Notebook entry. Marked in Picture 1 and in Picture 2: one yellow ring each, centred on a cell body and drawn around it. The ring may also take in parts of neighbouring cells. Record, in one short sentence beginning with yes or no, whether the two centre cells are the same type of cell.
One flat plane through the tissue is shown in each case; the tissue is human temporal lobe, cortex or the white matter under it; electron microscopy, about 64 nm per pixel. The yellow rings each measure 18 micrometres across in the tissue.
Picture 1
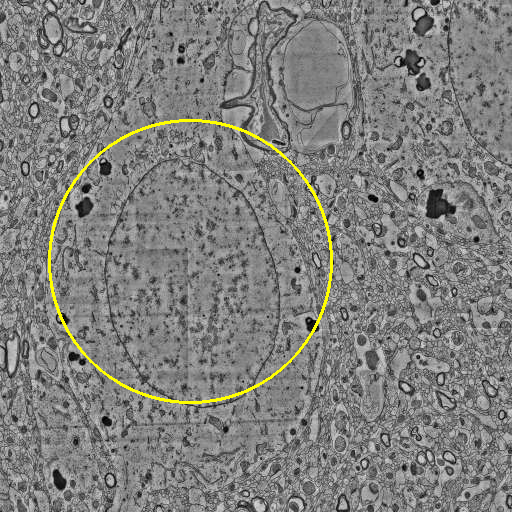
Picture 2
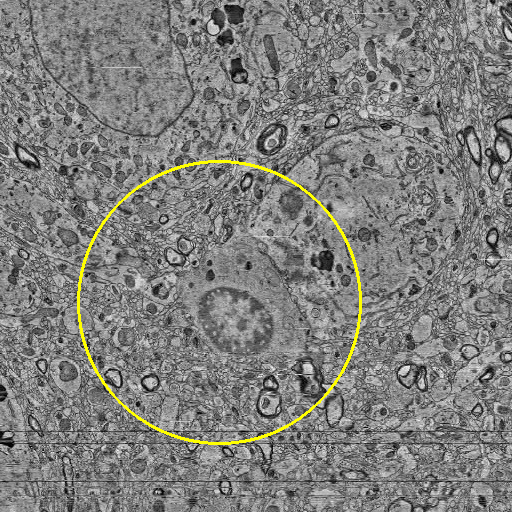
No, they are two types of cell.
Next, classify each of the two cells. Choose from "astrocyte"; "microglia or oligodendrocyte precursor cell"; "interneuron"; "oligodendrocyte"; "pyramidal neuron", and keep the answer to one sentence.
In the first picture it is a pyramidal neuron; in the second it is an oligodendrocyte.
